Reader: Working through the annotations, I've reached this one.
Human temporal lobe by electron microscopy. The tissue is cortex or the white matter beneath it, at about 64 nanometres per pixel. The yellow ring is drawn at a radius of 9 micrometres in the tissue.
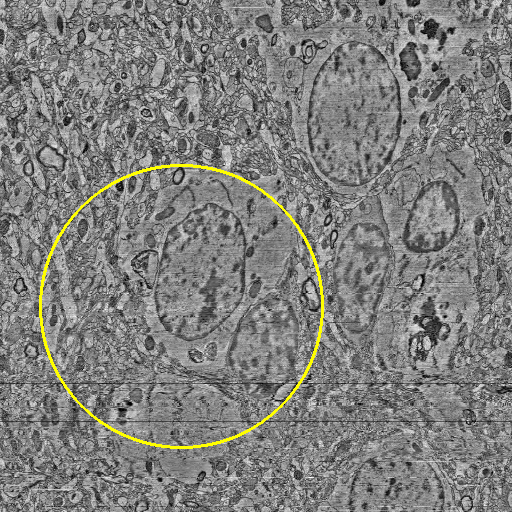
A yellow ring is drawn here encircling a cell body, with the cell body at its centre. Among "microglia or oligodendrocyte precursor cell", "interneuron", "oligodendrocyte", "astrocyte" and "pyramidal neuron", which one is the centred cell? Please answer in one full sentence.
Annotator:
The cell body at the centre of the yellow ring in this image belongs to an astrocyte.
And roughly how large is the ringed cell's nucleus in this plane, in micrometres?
About 9 by 6 micrometres; in this plane the nucleus is clearly longer than it is wide.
